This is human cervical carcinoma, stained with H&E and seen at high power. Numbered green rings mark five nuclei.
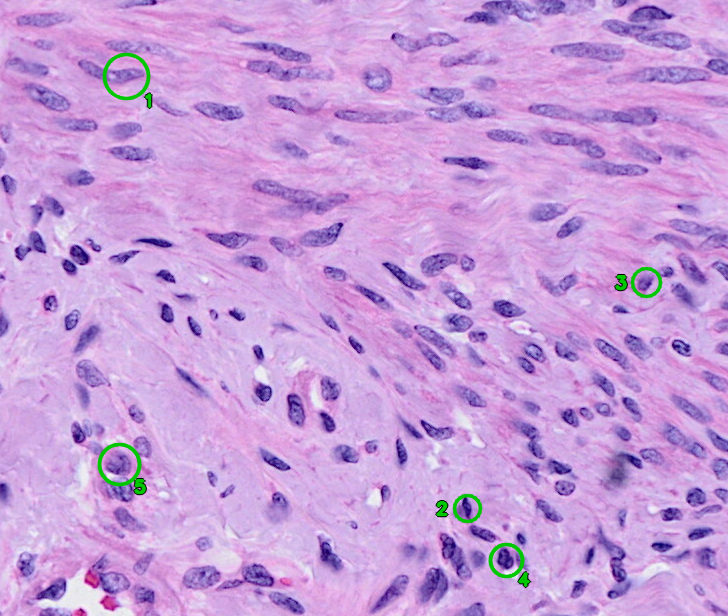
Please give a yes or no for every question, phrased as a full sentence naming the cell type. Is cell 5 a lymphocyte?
No, with respect, cell 5 is an endothelial cell rather than a lymphocyte.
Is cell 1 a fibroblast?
No, a fibroblast is not what cell 1 is; it is a smooth muscle cell.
